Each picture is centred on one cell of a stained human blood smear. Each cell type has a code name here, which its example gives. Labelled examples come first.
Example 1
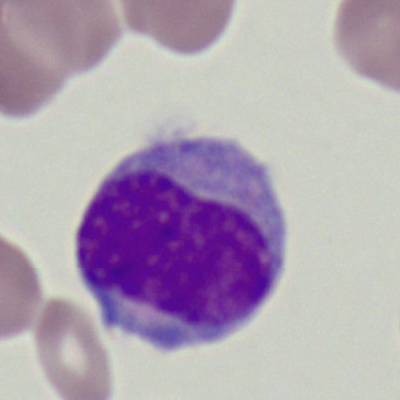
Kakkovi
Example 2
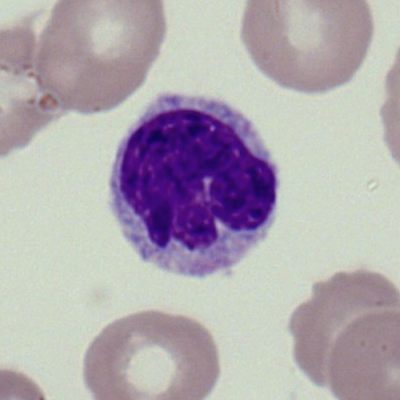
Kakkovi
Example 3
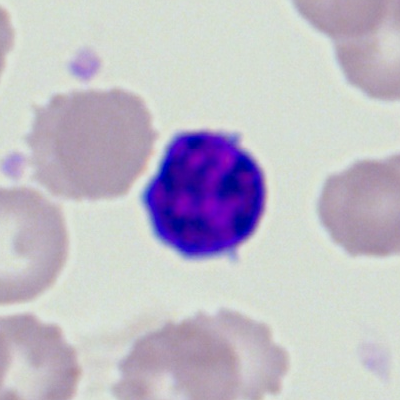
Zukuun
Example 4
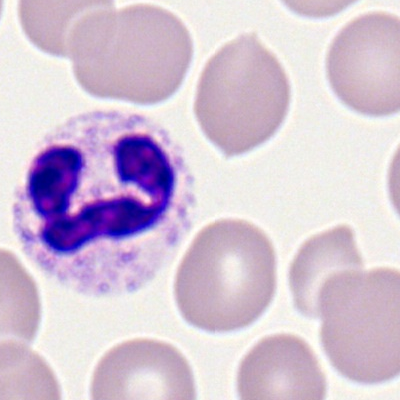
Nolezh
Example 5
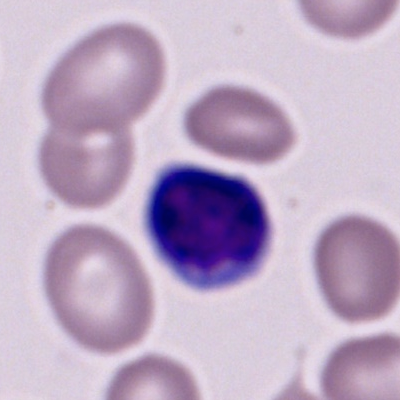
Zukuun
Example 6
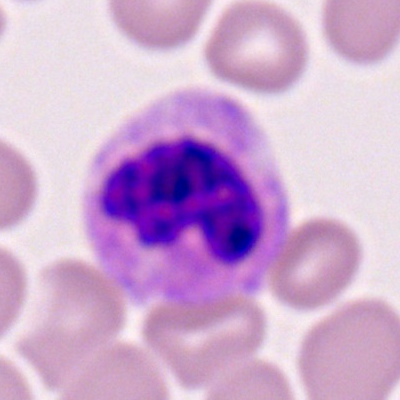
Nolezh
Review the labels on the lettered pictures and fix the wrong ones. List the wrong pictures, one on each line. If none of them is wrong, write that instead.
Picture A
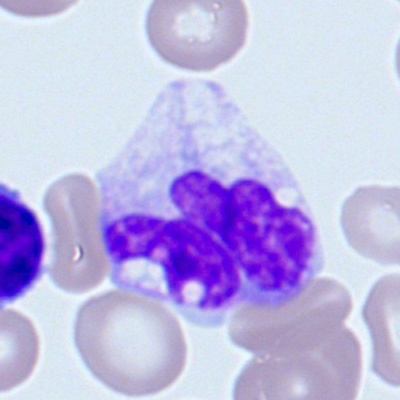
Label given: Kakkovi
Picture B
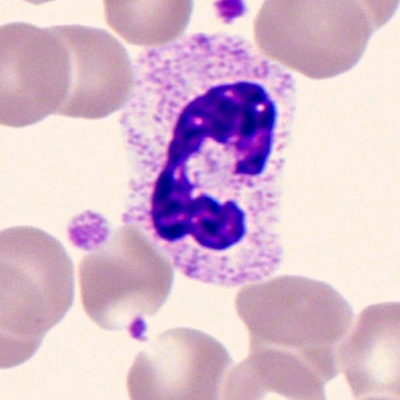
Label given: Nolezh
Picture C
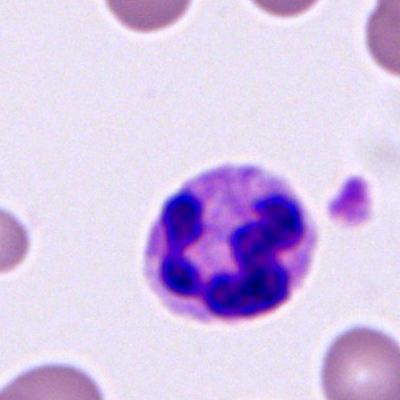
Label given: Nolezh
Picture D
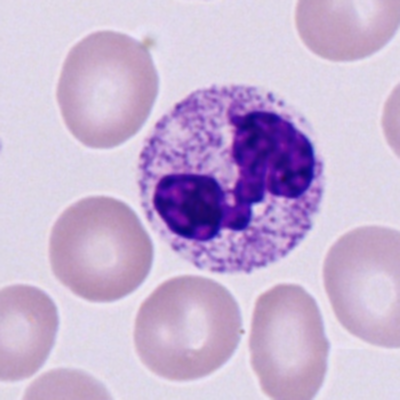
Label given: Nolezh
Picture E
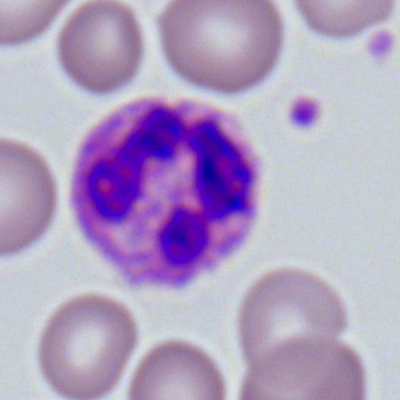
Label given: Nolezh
No label is wrong.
